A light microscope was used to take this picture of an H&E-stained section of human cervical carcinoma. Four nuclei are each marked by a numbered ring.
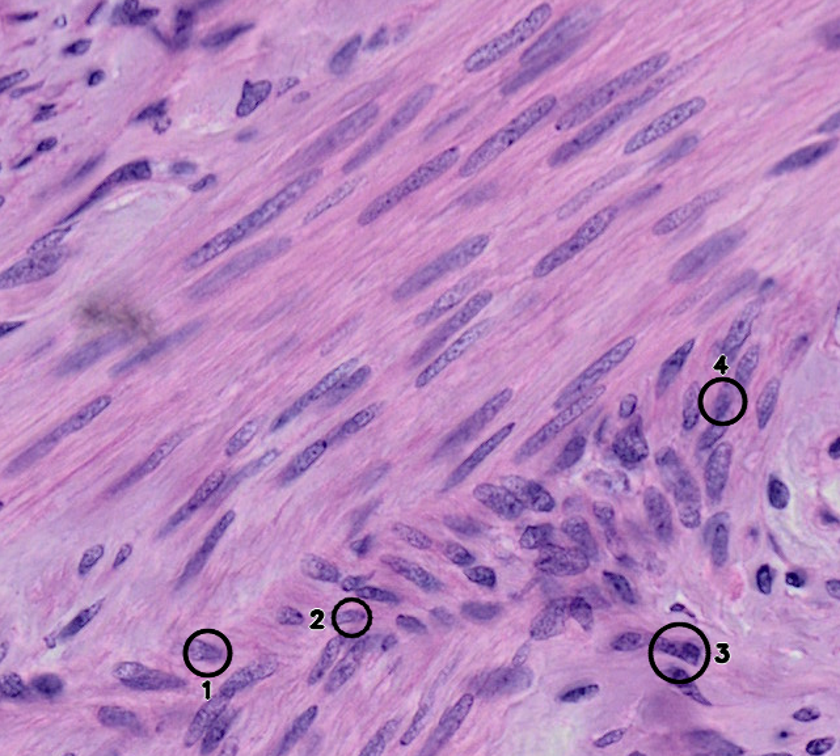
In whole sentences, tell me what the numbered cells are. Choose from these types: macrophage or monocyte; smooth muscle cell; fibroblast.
Cell 1 is a smooth muscle cell, cell 2 is a smooth muscle cell, cell 3 is a fibroblast and cell 4 is a smooth muscle cell.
